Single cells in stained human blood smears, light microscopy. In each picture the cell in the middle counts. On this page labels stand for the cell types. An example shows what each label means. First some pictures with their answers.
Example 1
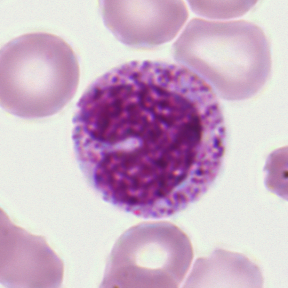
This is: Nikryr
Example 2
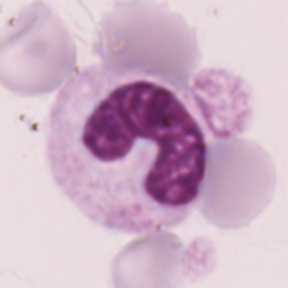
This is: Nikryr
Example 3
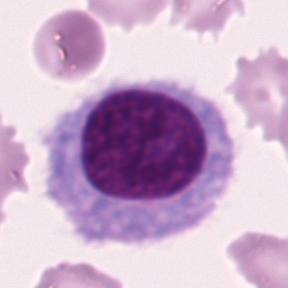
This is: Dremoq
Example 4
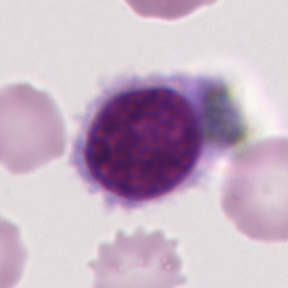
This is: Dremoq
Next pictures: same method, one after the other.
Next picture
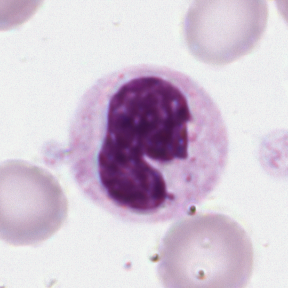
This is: Nikryr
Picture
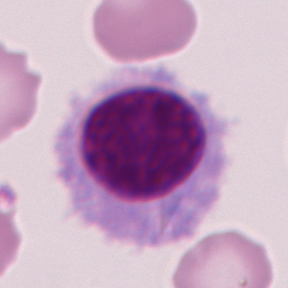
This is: Dremoq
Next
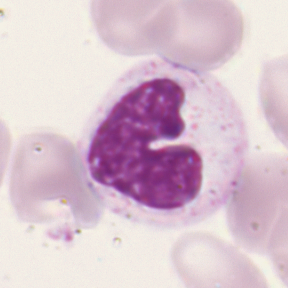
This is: Nikryr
